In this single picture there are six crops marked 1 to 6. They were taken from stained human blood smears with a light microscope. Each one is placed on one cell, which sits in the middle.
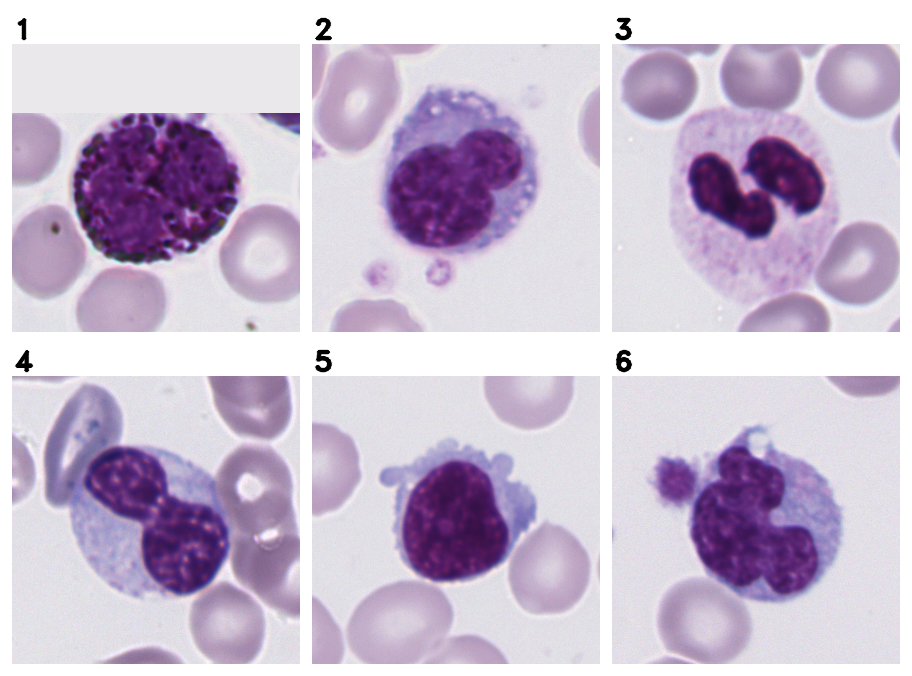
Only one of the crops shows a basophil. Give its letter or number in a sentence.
The crop with a basophil at its center is crop 1.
